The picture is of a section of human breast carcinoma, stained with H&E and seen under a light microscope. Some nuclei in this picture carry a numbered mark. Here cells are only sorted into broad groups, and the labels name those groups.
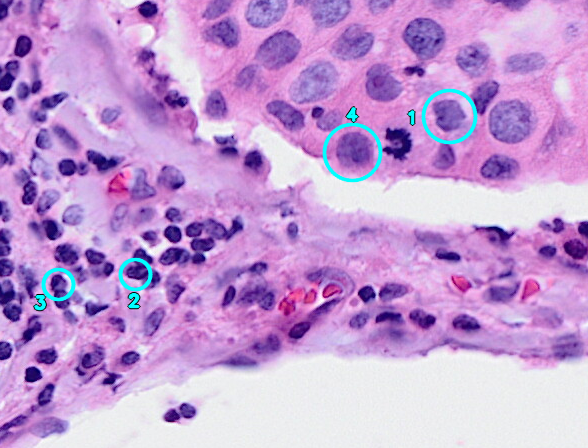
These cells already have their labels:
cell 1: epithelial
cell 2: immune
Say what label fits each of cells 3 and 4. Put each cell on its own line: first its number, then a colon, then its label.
3: immune
4: epithelial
